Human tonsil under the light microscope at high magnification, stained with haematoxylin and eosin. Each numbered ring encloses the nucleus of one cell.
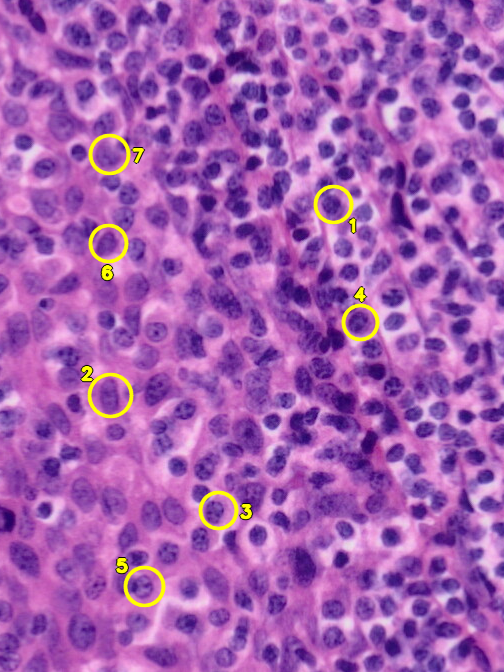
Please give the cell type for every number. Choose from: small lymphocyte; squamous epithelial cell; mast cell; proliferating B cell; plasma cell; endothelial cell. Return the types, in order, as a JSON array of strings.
["plasma cell", "squamous epithelial cell", "plasma cell", "plasma cell", "plasma cell", "squamous epithelial cell", "squamous epithelial cell"]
